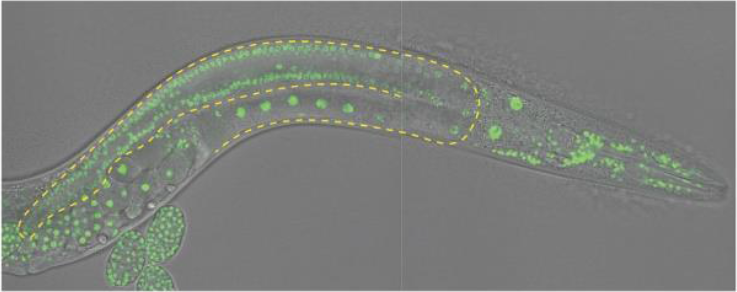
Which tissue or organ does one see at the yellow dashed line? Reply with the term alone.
Gonads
